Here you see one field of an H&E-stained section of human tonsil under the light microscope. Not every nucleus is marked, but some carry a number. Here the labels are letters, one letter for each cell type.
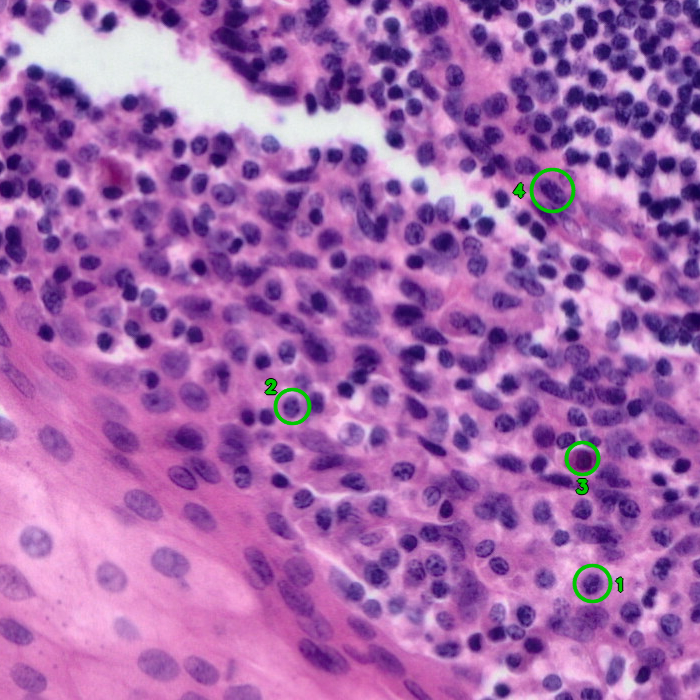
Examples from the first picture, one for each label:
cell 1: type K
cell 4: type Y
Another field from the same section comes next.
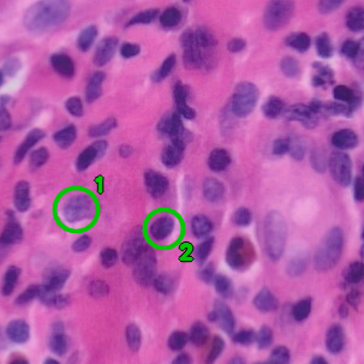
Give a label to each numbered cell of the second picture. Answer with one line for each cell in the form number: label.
1: type Y
2: type K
